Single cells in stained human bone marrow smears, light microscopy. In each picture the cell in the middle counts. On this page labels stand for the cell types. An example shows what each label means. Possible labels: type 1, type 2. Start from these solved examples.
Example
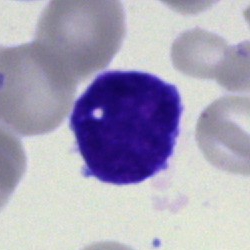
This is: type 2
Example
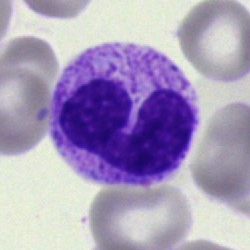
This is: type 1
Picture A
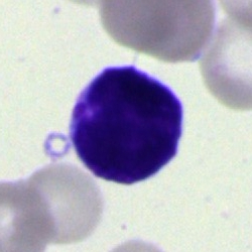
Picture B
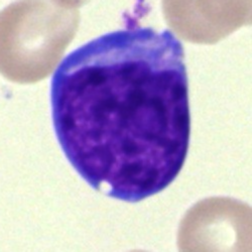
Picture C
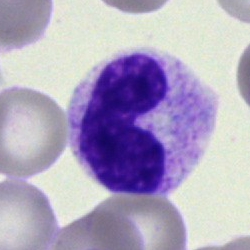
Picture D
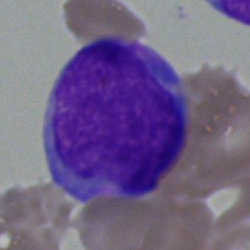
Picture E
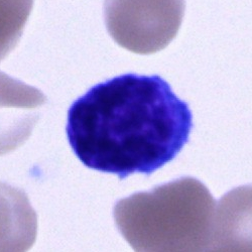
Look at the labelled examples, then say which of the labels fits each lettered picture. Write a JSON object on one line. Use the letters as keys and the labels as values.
{"A": "type 2", "B": "type 2", "C": "type 1", "D": "type 2", "E": "type 2"}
